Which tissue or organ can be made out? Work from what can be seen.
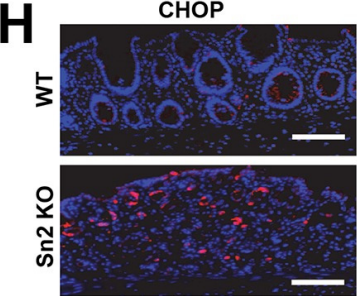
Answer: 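Colon. The upper section shows round crypts cut in cross section, each ringed by a layer of nuclei. The crypts are set in a loose stroma with scattered nuclei.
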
